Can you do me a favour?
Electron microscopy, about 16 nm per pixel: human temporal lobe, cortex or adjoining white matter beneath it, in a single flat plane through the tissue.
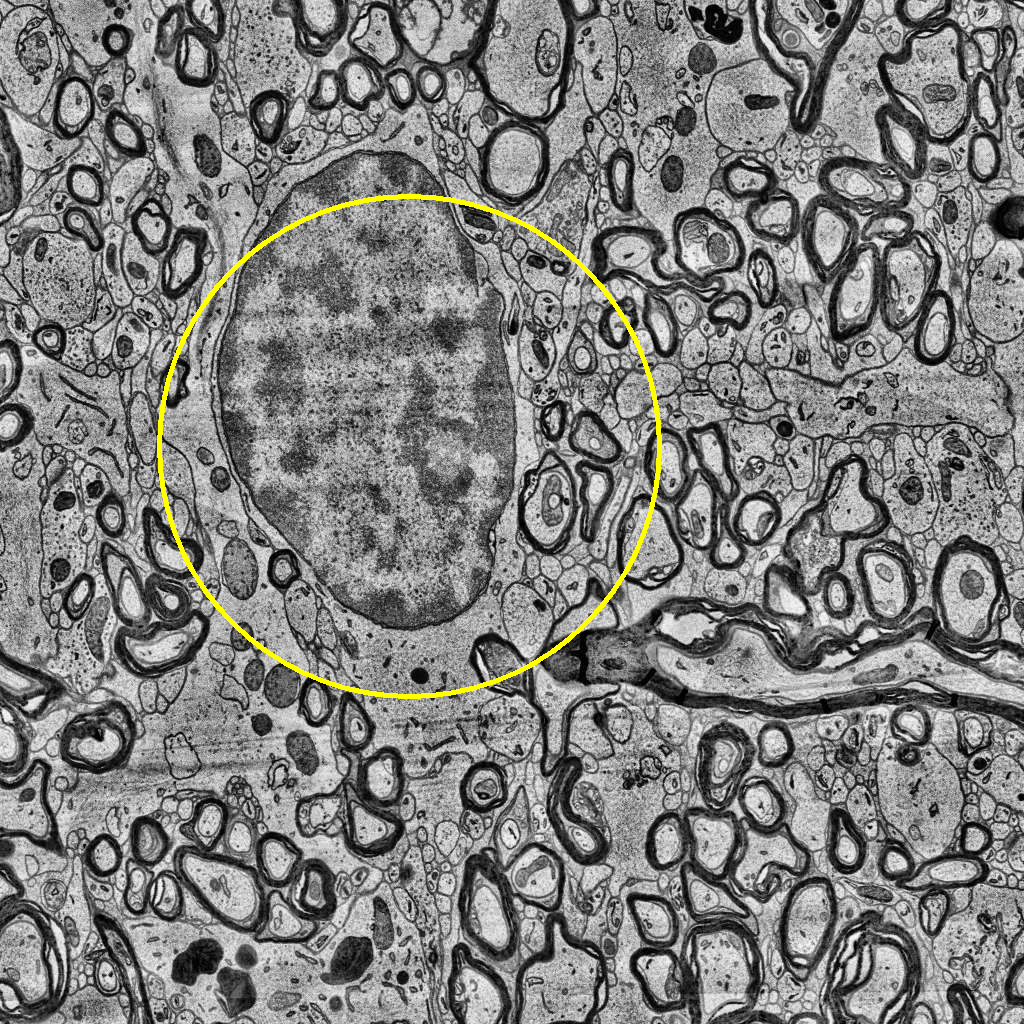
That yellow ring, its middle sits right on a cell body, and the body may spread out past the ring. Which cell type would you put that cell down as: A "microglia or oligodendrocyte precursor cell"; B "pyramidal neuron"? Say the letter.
A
